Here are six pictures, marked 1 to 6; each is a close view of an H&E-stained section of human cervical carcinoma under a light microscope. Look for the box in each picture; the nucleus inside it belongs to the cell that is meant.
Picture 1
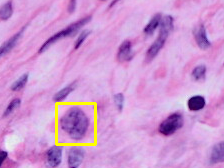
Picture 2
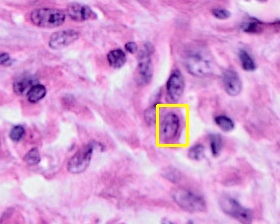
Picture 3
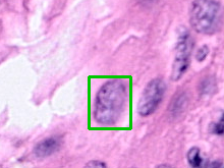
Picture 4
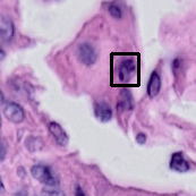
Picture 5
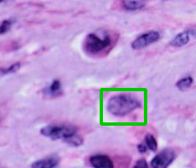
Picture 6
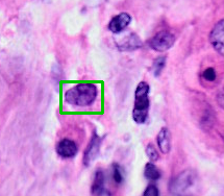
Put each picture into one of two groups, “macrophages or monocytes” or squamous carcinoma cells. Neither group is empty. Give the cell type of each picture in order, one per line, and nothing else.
macrophage or monocyte
macrophage or monocyte
squamous carcinoma cell
squamous carcinoma cell
macrophage or monocyte
macrophage or monocyte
